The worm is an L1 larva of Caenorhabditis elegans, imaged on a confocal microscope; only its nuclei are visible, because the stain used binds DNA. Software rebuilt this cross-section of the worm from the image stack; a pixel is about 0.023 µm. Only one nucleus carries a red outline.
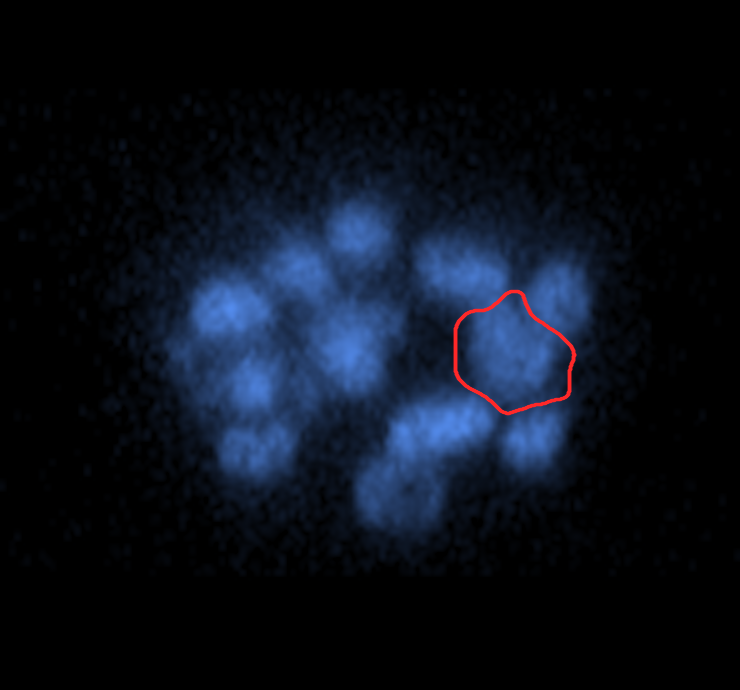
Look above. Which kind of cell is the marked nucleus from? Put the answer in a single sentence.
It belongs to a valve cell of the gut.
